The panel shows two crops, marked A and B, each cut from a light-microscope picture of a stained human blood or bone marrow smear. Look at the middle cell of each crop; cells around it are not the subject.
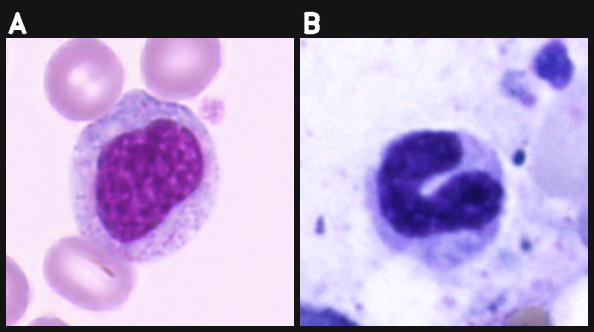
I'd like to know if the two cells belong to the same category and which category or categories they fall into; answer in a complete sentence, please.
No, sorry, crop A shows a metamyelocyte and crop B shows a band neutrophil.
